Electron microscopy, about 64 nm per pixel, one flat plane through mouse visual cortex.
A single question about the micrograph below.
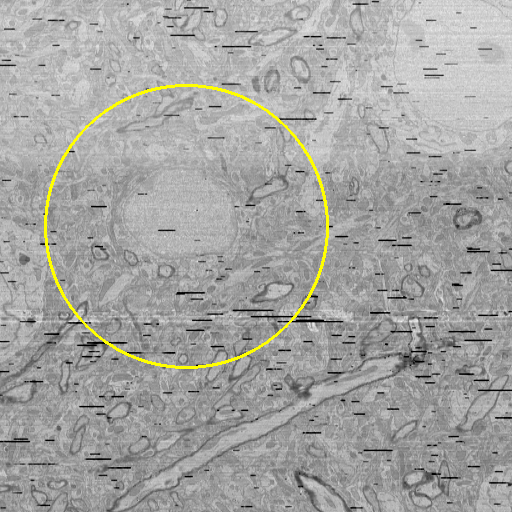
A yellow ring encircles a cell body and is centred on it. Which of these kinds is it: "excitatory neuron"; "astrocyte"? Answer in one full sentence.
The cell body at the centre of the yellow ring belongs to an astrocyte.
